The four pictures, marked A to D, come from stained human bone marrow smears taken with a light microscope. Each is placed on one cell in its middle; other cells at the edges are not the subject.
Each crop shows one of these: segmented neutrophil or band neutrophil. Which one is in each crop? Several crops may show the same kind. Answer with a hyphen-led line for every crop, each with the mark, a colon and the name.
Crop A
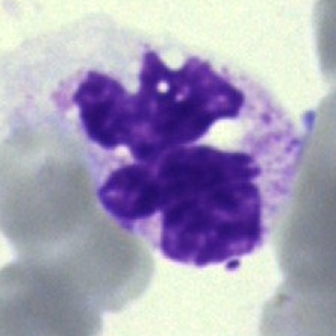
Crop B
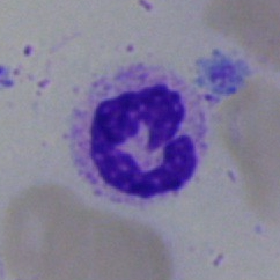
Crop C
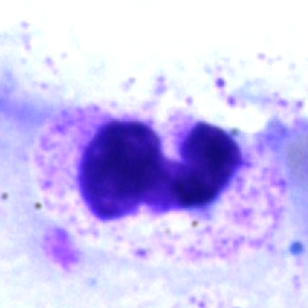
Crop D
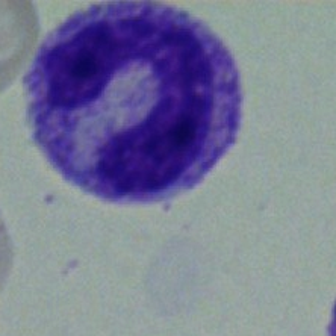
- A: segmented neutrophil
- B: segmented neutrophil
- C: segmented neutrophil
- D: band neutrophil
